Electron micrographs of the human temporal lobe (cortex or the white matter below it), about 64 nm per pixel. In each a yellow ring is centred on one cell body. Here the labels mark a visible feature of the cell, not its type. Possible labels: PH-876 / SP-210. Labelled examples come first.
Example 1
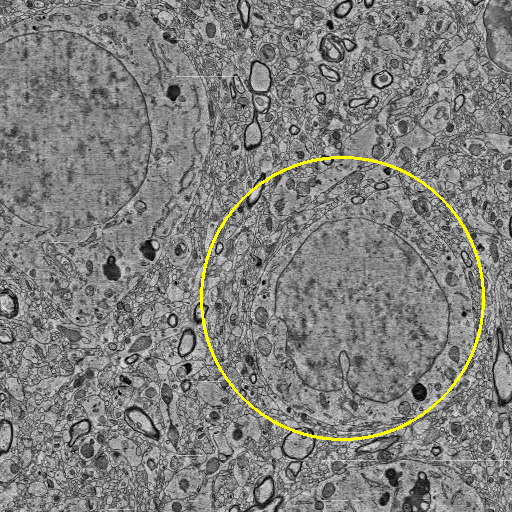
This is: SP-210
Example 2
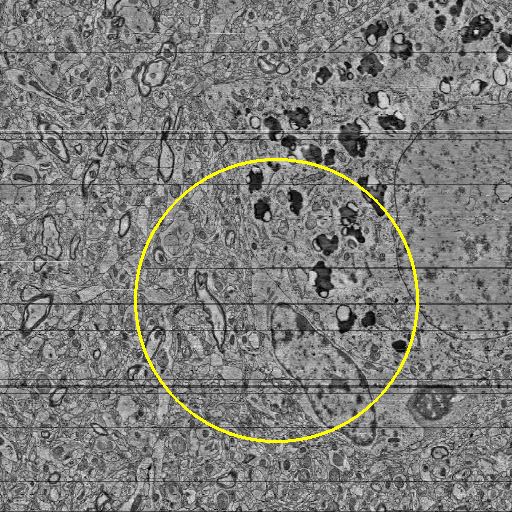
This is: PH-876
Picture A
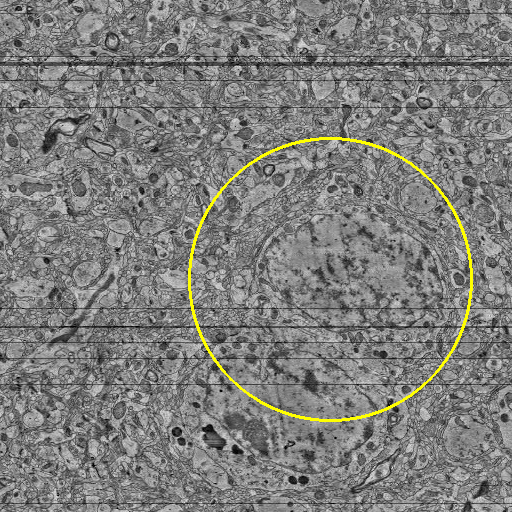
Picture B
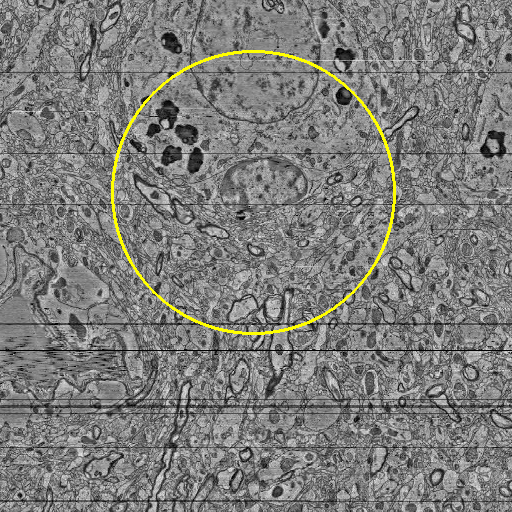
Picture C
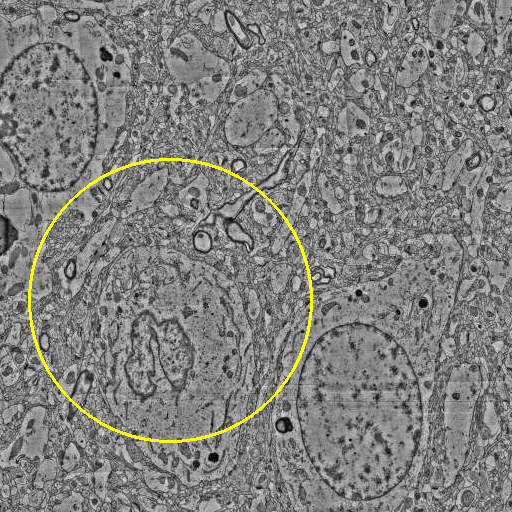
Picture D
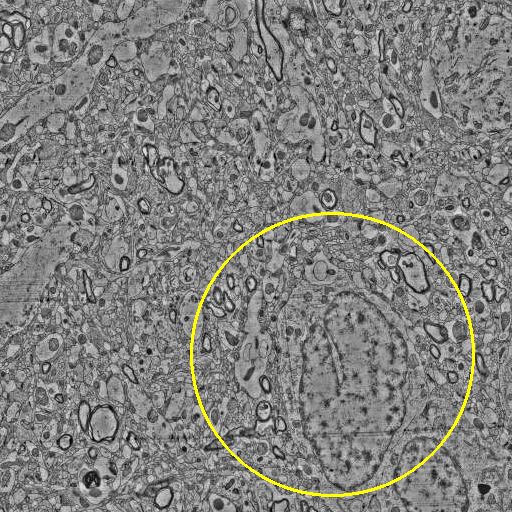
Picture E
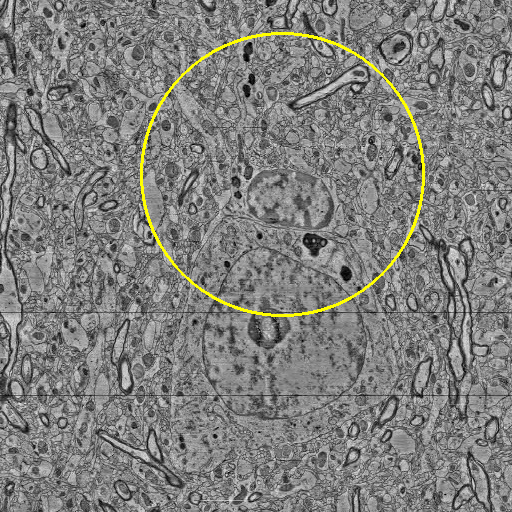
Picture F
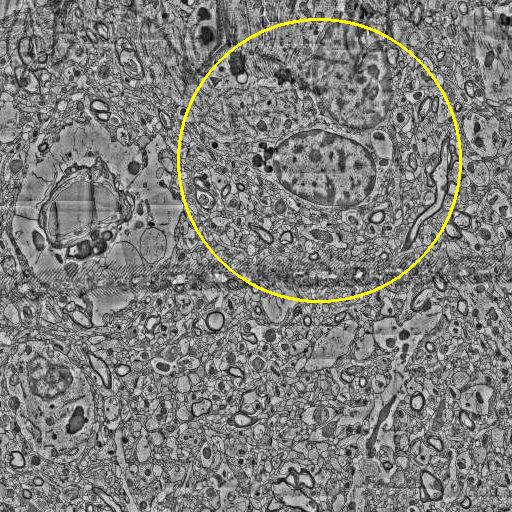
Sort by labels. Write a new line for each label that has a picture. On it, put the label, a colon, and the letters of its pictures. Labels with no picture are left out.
PH-876: A, B, E, F
SP-210: C, D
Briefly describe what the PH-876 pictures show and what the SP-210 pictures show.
Seen in PH-876: smooth nuclear envelopes without deep folds; seen in SP-210: deeply folded or indented nuclear envelopes.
